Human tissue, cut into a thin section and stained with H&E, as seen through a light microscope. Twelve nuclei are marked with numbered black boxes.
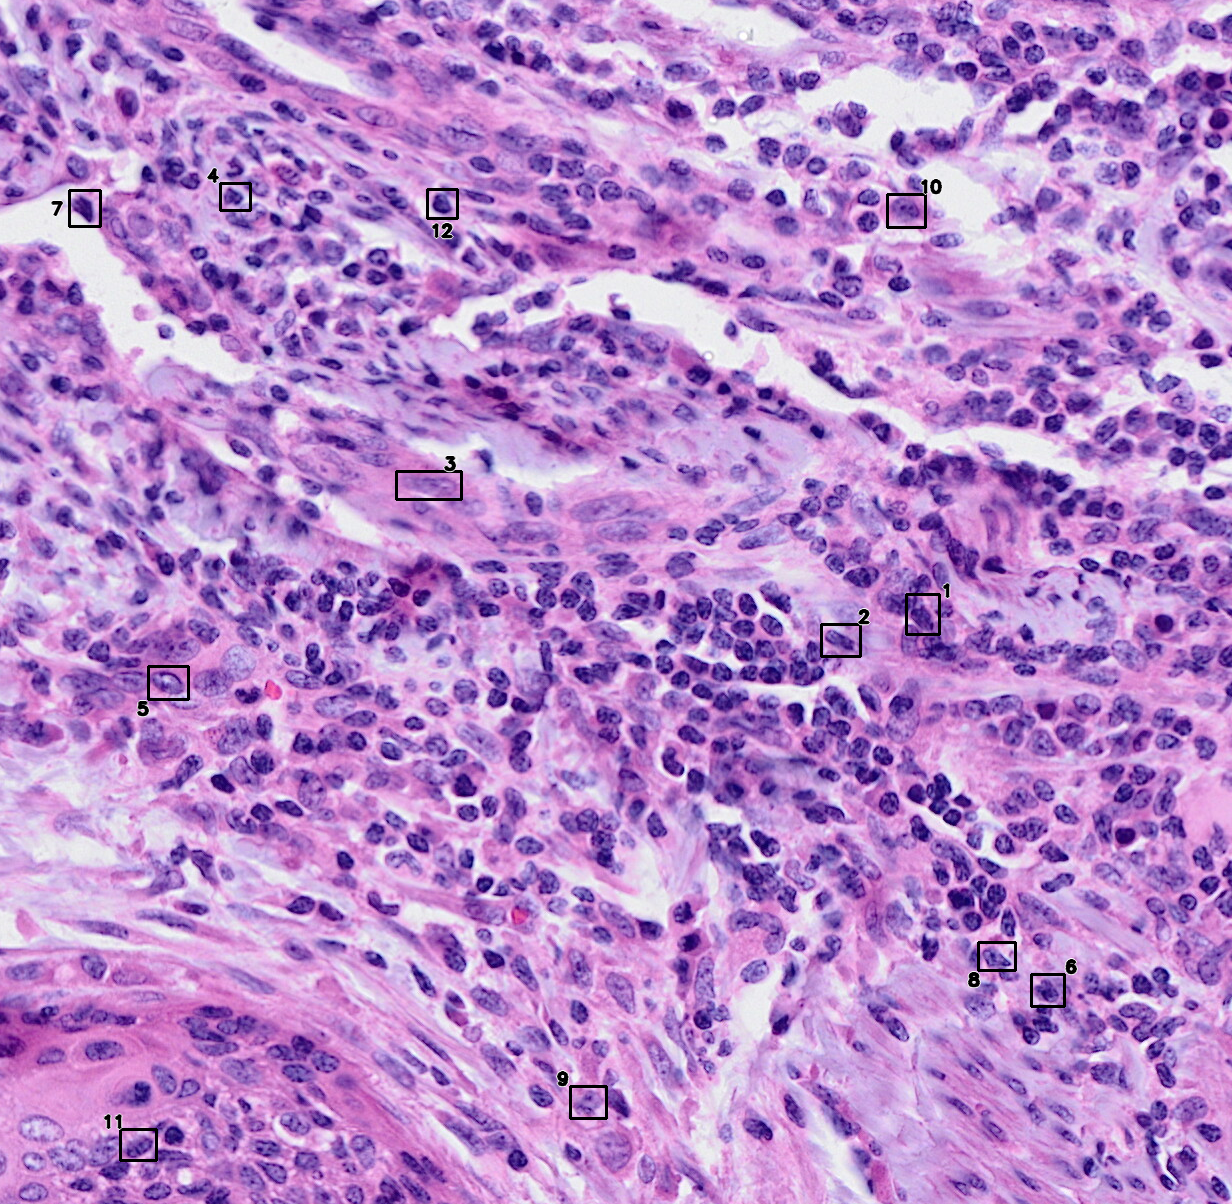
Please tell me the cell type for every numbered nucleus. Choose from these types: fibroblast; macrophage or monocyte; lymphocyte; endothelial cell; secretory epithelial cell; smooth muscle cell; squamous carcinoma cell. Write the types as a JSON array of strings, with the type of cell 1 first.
["lymphocyte", "lymphocyte", "endothelial cell", "lymphocyte", "endothelial cell", "lymphocyte", "lymphocyte", "lymphocyte", "macrophage or monocyte", "macrophage or monocyte", "squamous carcinoma cell", "lymphocyte"]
